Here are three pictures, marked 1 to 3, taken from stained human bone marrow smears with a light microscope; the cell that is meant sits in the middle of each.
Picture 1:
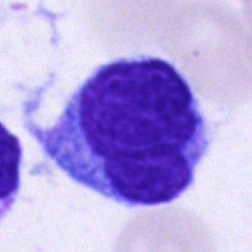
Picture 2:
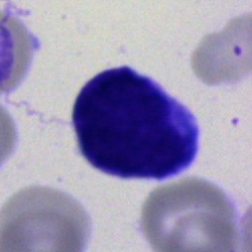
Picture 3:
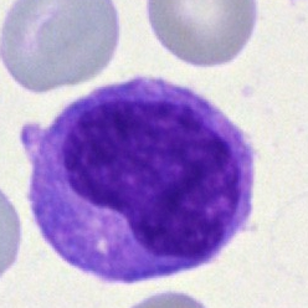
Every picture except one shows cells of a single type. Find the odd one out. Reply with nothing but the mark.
2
